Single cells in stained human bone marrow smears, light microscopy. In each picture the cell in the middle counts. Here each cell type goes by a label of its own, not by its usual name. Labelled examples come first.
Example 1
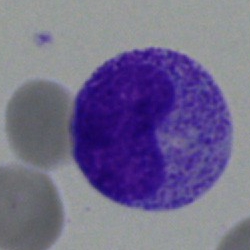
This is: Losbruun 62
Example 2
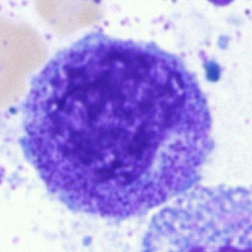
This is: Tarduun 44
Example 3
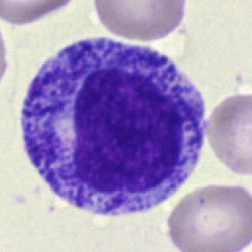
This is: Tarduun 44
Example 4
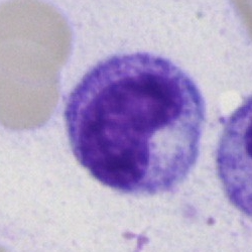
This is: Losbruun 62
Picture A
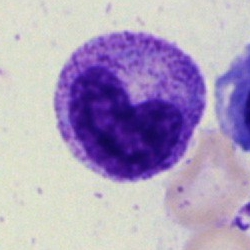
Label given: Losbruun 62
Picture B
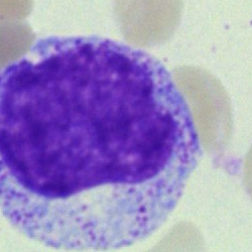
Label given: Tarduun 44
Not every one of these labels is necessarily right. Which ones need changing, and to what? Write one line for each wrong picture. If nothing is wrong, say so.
All labels are correct.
